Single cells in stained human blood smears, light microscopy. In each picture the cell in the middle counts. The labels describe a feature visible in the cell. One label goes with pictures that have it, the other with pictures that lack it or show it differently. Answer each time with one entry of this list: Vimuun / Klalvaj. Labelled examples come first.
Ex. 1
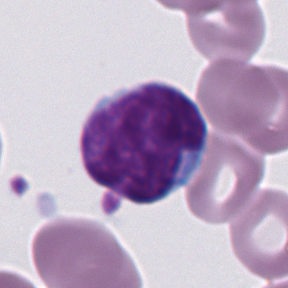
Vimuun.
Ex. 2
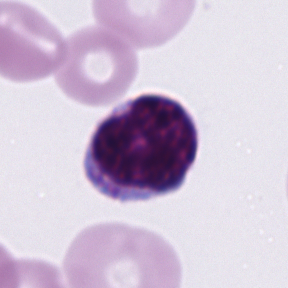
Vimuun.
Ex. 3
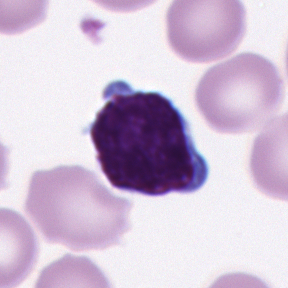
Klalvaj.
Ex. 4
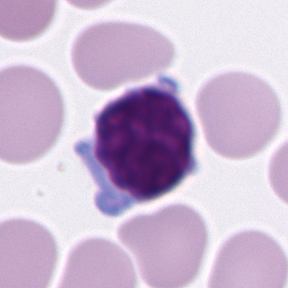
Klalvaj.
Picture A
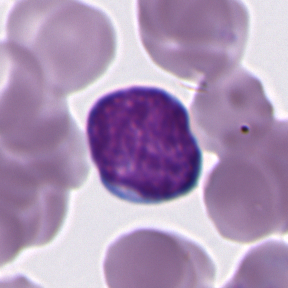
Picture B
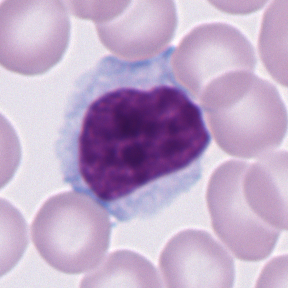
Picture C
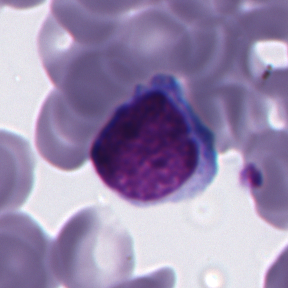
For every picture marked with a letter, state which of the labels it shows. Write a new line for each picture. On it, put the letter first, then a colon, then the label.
A: Vimuun.
B: Klalvaj.
C: Klalvaj.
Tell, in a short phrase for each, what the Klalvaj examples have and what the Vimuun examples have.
Klalvaj, ragged outline or projections; Vimuun, smooth outline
